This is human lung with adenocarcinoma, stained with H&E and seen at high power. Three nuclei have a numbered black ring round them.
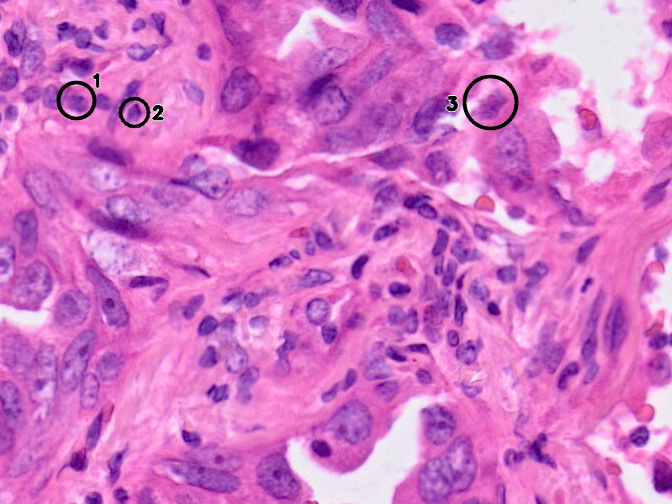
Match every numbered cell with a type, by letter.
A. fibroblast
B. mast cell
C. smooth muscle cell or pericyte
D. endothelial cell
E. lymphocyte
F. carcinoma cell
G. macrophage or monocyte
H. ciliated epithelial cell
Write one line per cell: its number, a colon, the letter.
1: E
2: E
3: F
